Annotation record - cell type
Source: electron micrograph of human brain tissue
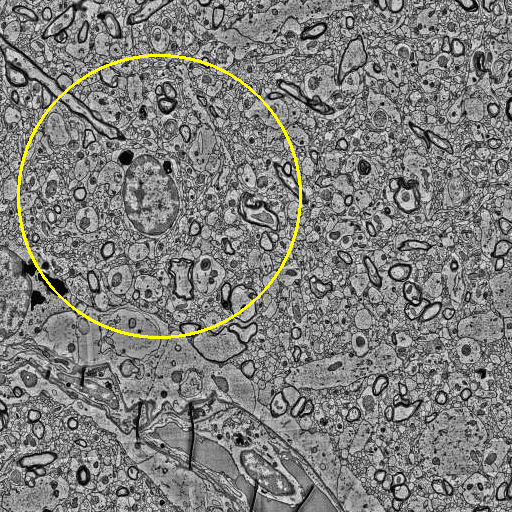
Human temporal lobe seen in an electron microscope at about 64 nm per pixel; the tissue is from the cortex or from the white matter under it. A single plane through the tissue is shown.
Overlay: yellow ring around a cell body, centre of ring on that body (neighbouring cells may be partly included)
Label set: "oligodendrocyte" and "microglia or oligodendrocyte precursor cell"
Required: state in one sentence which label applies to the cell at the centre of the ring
This cell should be labelled as a microglial cell or oligodendrocyte precursor cell.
